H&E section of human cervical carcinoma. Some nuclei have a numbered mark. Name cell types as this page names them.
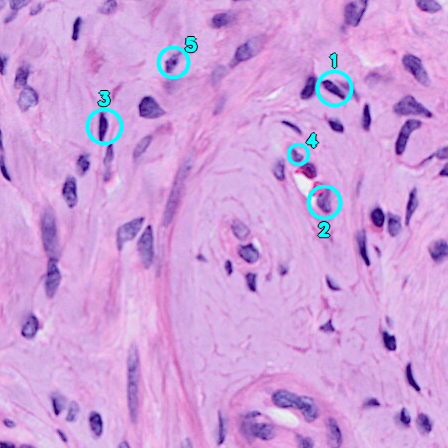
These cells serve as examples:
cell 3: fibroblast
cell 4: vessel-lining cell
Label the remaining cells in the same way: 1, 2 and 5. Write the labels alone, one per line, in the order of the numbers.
fibroblast
vessel-lining cell
fibroblast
